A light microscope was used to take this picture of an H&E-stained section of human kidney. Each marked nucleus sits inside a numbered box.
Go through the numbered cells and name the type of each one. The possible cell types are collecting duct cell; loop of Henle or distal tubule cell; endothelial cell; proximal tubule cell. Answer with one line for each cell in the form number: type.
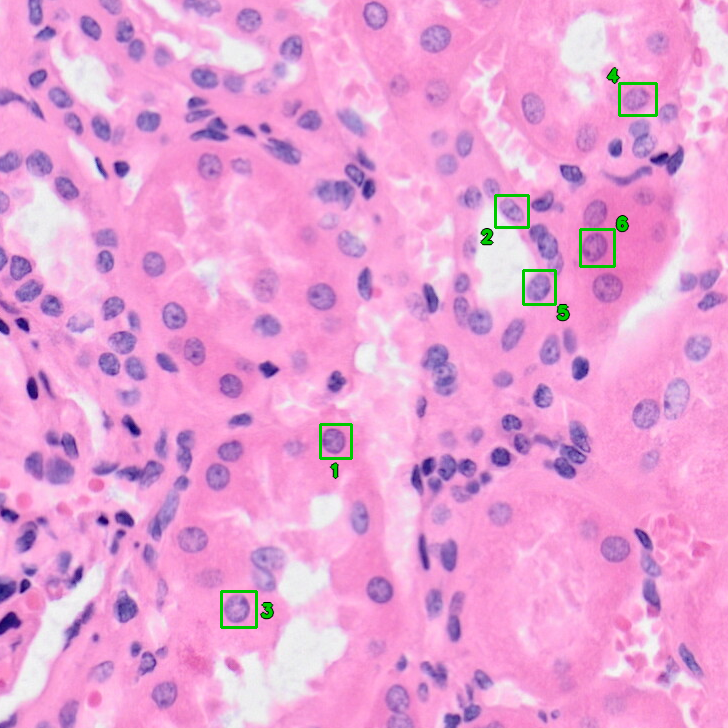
1: proximal tubule cell
2: collecting duct cell
3: proximal tubule cell
4: proximal tubule cell
5: collecting duct cell
6: proximal tubule cell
